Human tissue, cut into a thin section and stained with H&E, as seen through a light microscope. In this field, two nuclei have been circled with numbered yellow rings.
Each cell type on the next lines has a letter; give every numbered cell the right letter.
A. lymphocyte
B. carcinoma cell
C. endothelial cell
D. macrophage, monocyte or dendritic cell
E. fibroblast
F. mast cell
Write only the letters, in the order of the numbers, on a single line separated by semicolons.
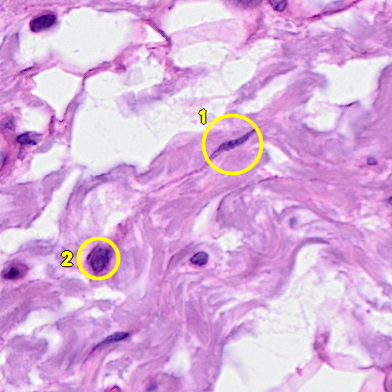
E; D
